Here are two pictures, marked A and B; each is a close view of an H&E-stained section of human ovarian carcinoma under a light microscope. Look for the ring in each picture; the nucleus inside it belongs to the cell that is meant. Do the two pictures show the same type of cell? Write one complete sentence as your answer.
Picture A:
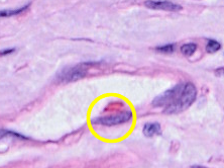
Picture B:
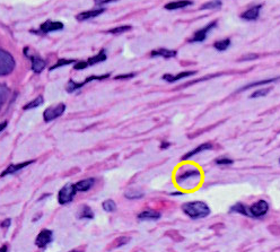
No, picture A shows an endothelial cell and picture B shows a fibroblast.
